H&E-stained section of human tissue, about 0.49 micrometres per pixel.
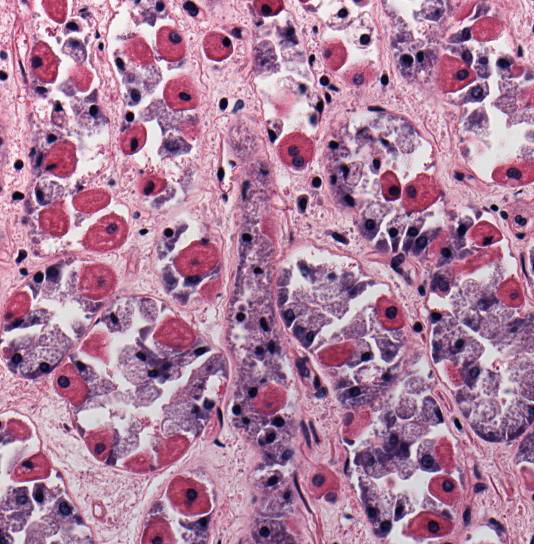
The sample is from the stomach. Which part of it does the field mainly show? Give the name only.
fundic glands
